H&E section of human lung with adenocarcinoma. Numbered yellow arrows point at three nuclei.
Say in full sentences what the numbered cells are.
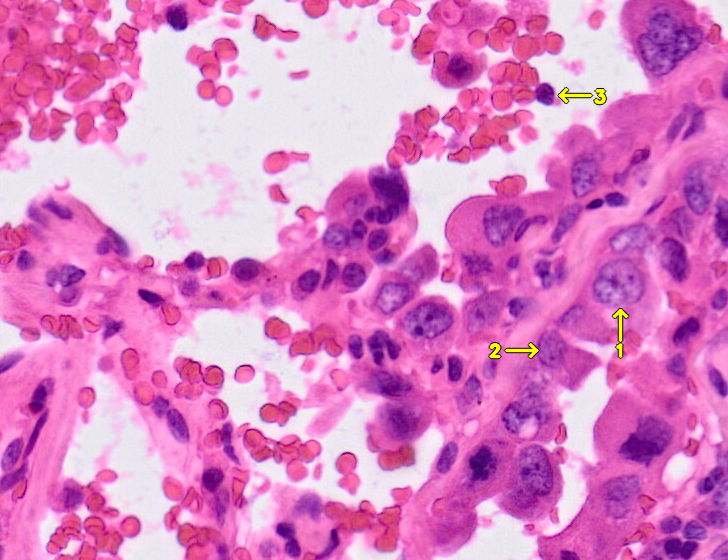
Cells 1 and 2 are carcinoma cells. Cell 3 is a lymphocyte.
